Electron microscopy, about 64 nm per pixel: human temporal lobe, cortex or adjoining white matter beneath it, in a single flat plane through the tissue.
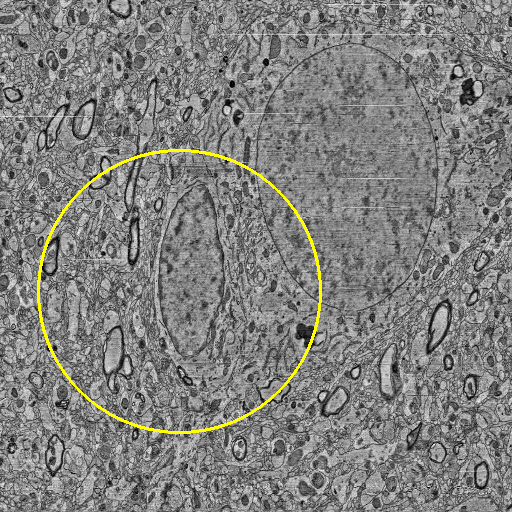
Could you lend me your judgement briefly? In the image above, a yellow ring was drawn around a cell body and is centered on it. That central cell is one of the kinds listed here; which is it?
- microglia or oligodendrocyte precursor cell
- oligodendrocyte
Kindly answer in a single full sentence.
Going by the list, a microglial cell or oligodendrocyte precursor cell is the kind at the ring's center in the picture.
